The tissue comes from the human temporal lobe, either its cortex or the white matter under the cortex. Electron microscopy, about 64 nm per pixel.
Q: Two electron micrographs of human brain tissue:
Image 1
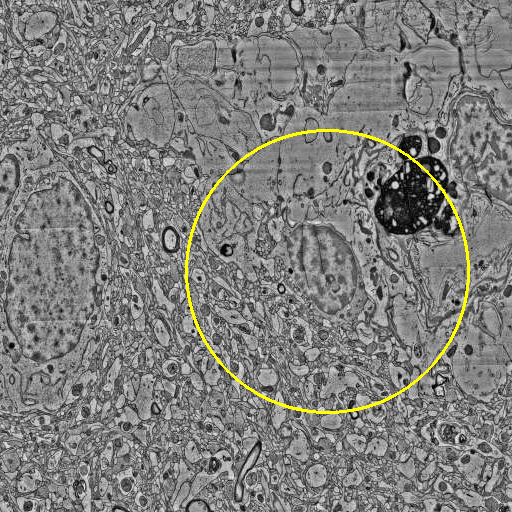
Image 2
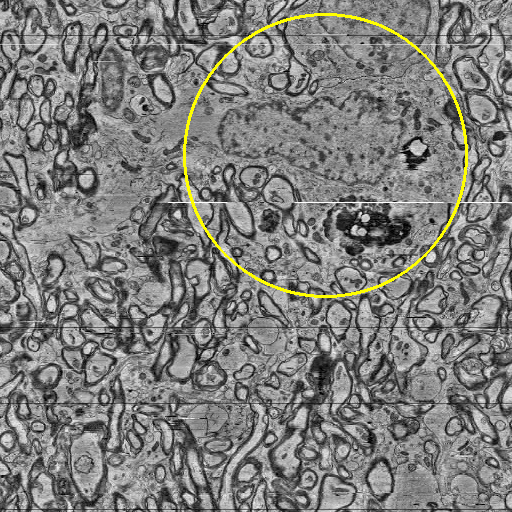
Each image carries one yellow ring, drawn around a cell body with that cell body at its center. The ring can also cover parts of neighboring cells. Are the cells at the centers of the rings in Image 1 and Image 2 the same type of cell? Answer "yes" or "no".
no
